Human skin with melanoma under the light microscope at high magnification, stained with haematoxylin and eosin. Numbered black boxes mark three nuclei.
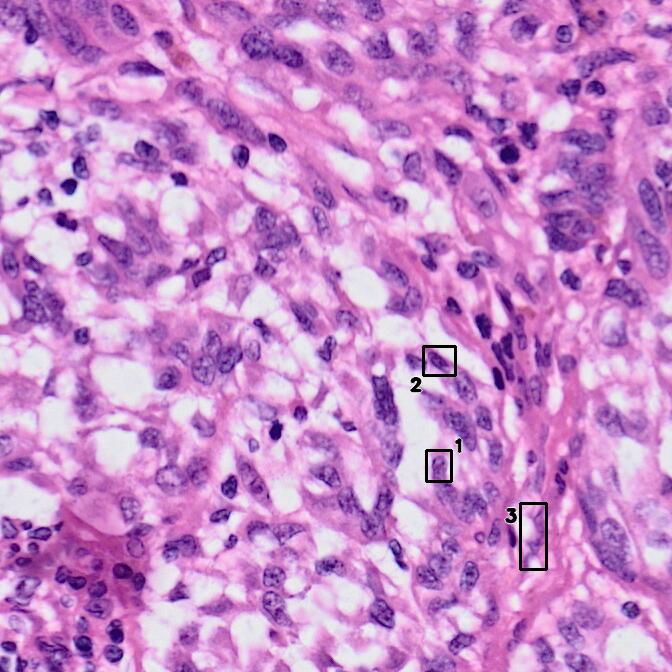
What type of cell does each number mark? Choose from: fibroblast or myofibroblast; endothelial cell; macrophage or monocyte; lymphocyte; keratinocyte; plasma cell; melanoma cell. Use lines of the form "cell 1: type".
cell 1: melanoma cell
cell 2: melanoma cell
cell 3: fibroblast or myofibroblast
